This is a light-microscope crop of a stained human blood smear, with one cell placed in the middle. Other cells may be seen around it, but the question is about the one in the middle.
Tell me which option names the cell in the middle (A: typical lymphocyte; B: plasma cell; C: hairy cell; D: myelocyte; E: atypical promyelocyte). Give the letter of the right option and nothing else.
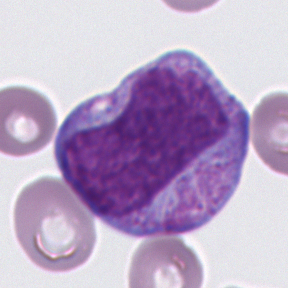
E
